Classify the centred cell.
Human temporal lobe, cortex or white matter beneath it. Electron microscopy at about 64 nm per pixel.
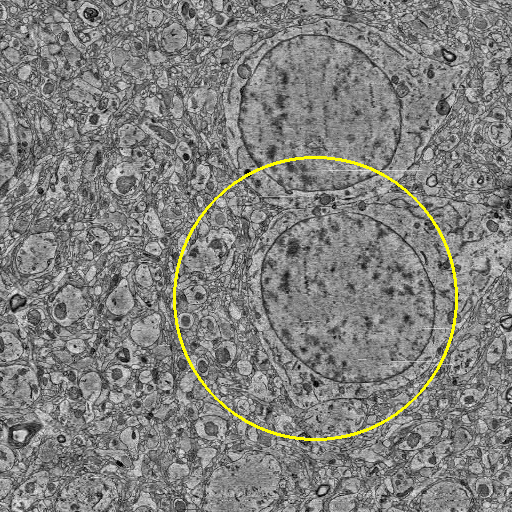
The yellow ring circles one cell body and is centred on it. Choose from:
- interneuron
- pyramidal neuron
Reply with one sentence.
The ring is centred on a pyramidal neuron.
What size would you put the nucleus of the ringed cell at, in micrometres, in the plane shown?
In this plane, the nucleus of the cell at the centre of the ring is about 11 micrometres across.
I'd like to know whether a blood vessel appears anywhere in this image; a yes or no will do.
No.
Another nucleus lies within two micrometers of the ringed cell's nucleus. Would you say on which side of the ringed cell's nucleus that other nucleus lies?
The other nucleus lies above it.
